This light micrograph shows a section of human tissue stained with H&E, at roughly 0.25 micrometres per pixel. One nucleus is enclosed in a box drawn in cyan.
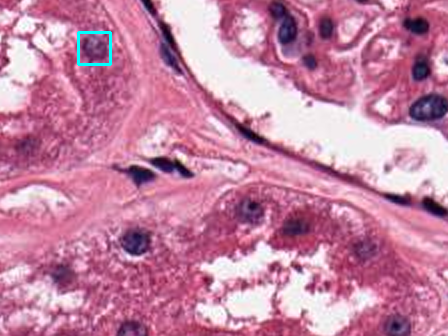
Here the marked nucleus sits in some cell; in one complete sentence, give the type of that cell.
The marked nucleus is recognized as the nucleus of a proximal tubule cell.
